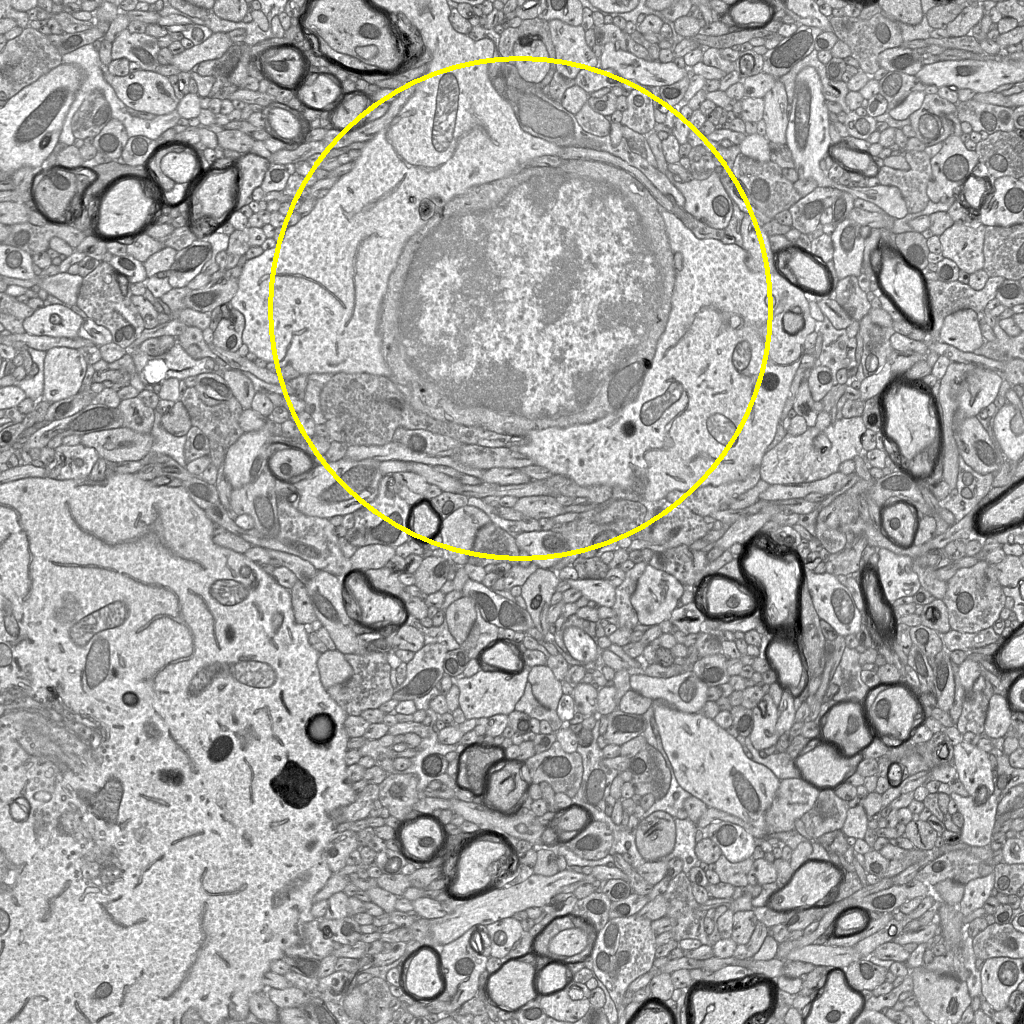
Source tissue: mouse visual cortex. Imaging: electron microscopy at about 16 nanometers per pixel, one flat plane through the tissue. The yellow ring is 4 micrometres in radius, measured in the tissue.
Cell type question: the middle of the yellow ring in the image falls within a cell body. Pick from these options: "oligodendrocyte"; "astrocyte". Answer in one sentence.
The cell body at the center of the ring belongs to an oligodendrocyte.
